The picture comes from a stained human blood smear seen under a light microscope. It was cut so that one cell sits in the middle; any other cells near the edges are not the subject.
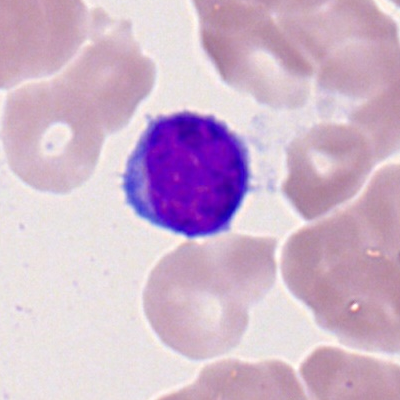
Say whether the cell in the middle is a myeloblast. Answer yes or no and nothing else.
no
